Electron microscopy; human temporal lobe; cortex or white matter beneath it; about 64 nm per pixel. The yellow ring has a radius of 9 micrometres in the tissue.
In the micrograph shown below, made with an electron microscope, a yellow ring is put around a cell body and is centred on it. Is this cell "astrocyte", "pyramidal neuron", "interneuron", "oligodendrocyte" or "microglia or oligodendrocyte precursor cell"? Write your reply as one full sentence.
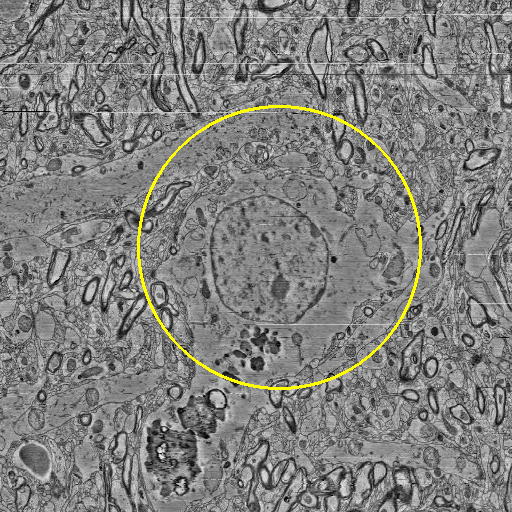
In the micrograph, an astrocyte is the cell at the centre of the yellow ring.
